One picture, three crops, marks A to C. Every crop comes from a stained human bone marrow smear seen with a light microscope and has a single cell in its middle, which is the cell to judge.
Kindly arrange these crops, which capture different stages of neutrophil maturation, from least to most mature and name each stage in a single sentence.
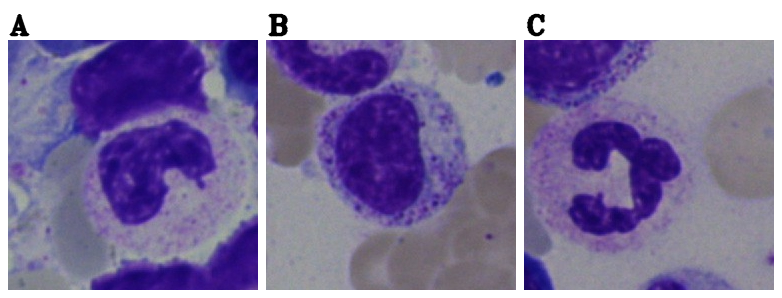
Arranging the cells from least to most mature gives crop B (a myelocyte), crop A (a band neutrophil) and crop C (a segmented neutrophil).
